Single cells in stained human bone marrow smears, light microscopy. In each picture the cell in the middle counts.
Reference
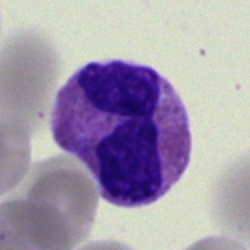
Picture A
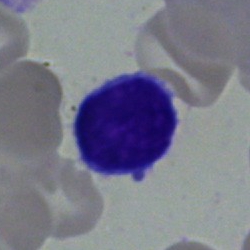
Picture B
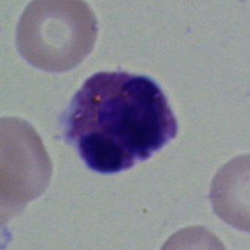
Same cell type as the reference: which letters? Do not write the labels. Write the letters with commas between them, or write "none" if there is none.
B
